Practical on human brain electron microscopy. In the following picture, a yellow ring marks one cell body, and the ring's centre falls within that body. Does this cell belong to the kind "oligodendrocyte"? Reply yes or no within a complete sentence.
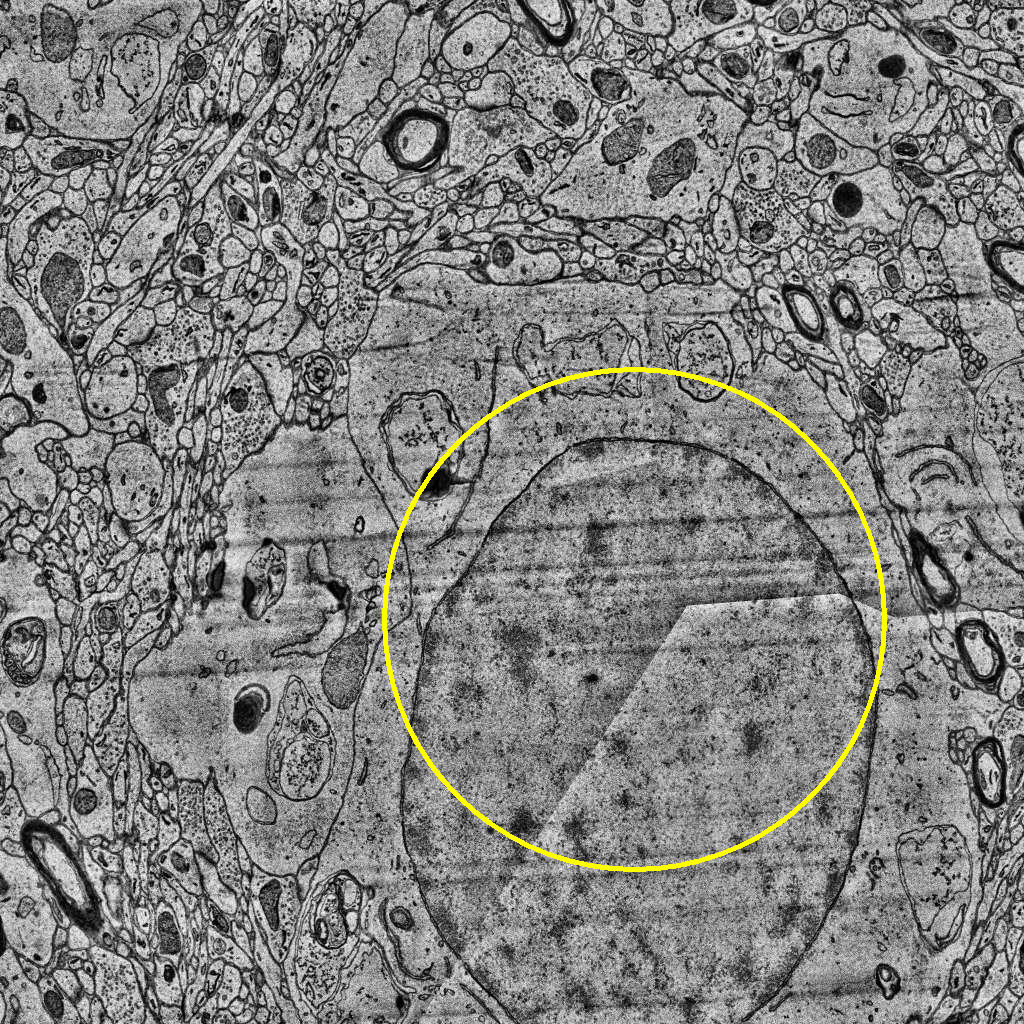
No, the cell holding the centre of the ring here is another kind.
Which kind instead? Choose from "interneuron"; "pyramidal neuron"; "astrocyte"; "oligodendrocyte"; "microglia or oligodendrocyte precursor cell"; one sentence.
The cell enclosed by the ring is an astrocyte.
